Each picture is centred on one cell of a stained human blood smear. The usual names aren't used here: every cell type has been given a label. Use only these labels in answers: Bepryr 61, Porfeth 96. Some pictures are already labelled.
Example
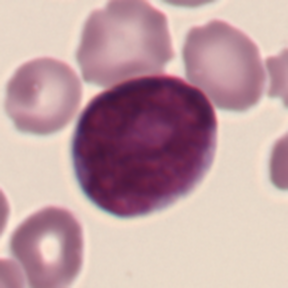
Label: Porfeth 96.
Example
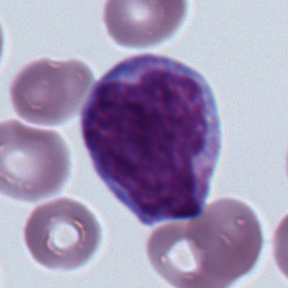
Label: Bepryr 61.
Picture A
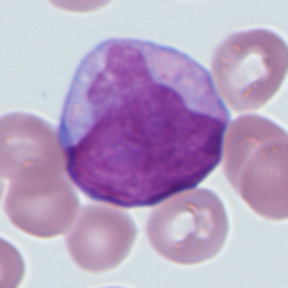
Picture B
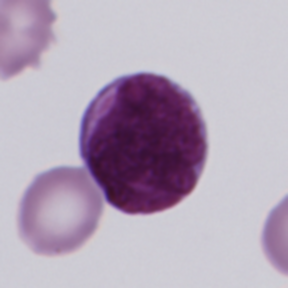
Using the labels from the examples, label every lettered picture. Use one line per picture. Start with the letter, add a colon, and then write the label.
A: Bepryr 61.
B: Porfeth 96.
